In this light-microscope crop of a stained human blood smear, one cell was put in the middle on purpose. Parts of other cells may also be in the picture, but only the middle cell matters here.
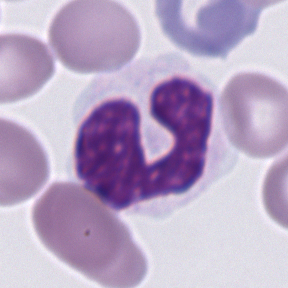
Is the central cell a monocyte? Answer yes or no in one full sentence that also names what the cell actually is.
No, at the middle of the crop is a band neutrophil, not a monocyte.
